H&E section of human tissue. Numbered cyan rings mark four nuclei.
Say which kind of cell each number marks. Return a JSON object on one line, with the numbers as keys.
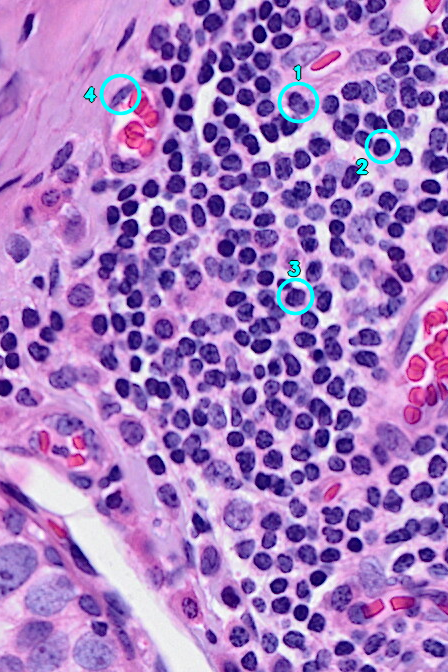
{"1": "lymphocyte", "2": "lymphocyte", "3": "lymphocyte", "4": "endothelial cell"}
